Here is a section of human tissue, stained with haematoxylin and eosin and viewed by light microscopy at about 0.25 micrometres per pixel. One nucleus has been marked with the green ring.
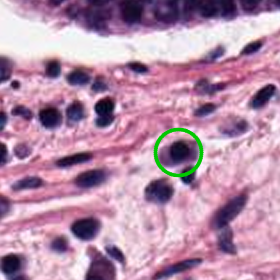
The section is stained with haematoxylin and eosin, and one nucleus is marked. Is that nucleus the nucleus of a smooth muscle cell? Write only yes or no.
no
